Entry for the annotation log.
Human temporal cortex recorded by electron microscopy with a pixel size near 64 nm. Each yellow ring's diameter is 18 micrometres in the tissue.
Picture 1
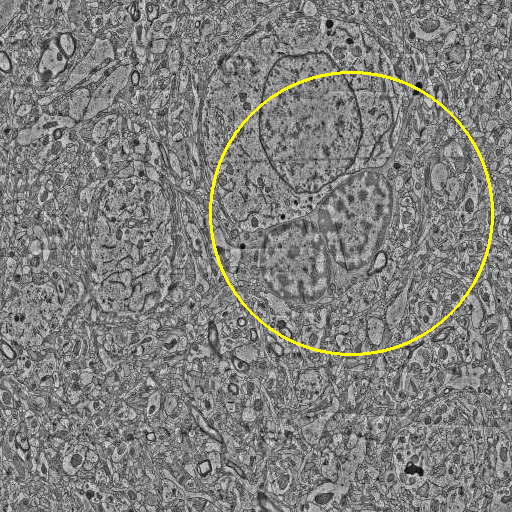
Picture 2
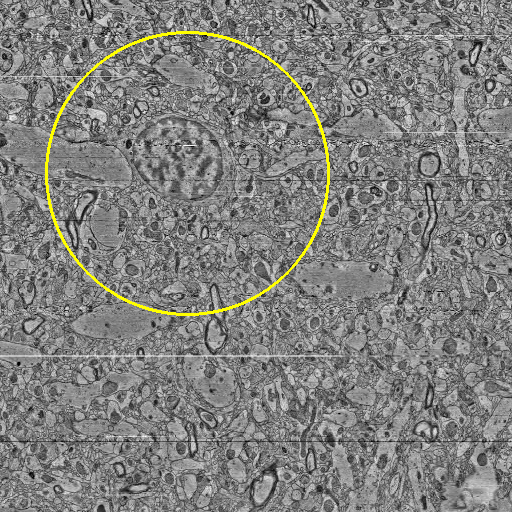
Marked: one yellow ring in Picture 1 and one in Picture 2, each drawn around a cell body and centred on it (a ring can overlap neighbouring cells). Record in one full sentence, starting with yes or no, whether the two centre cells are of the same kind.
Yes, both cells are of the same kind.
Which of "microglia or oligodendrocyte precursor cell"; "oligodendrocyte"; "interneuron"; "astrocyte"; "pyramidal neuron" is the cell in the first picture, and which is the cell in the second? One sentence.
Each of the two cells is an oligodendrocyte.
